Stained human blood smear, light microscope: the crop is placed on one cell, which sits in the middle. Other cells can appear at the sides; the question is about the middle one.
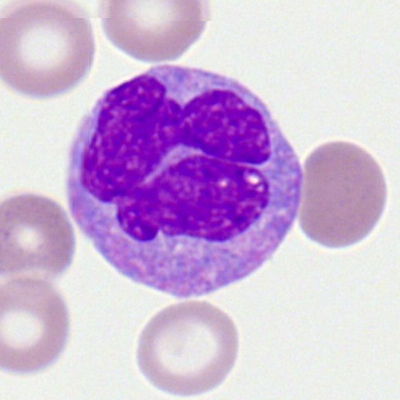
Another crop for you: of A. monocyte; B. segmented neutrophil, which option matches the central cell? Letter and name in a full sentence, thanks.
The cell centred in the crop is a monocyte, and the correct option is thus A.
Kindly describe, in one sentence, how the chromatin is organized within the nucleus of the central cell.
You can see that its chromatin is coarsely clumped.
